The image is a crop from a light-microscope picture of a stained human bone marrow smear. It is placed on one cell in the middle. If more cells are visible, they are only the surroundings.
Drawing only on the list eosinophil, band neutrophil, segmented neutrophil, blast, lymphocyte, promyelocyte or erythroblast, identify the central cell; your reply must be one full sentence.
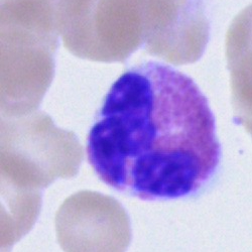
The central cell shown in this smear crop is an eosinophil.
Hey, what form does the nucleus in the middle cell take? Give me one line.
Segmentation of the nucleus into two or more lobes is the finding.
